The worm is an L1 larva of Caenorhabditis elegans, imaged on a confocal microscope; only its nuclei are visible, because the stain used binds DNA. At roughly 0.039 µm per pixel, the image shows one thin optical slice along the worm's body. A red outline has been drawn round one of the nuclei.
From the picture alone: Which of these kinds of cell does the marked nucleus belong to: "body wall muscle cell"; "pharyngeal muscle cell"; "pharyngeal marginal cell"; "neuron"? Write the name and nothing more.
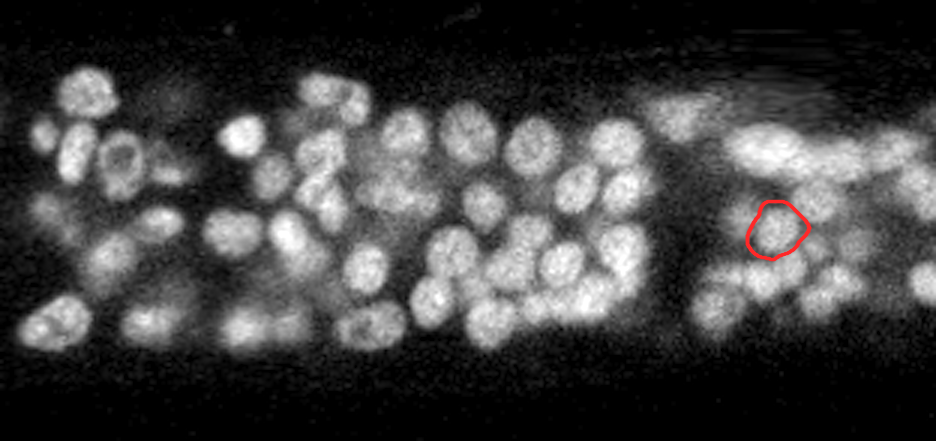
neuron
